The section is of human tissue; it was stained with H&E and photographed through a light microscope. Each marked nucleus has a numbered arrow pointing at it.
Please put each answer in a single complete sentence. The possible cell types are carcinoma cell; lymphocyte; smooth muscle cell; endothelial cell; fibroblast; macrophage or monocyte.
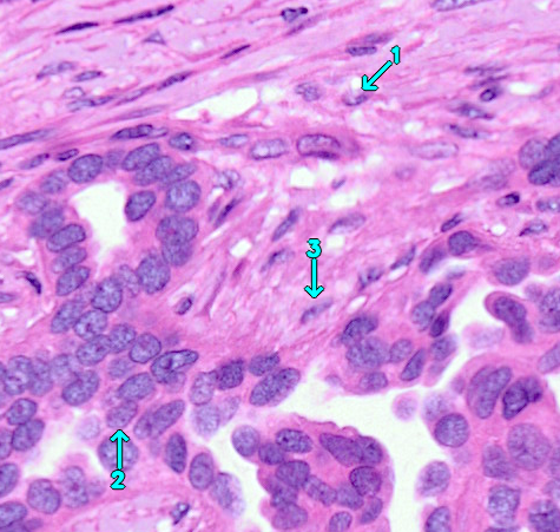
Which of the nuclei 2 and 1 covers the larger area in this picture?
Nucleus 2 is larger, with an area about 2 times that of nucleus 1.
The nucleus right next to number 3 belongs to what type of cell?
It is a carcinoma cell whose nucleus is nearest to number 3.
